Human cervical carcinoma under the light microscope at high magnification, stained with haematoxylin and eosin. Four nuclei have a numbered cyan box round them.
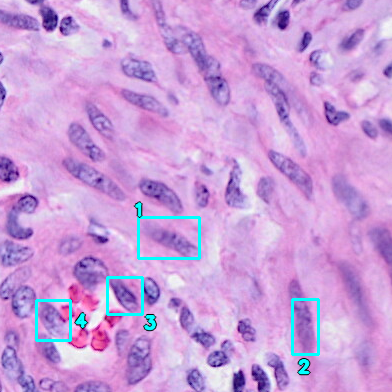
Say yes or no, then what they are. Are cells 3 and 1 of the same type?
No, cell 1 is a smooth muscle cell, but cell 3 is an endothelial cell.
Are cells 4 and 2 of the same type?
No, cell 4 is an endothelial cell; cell 2, by contrast, is a smooth muscle cell.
